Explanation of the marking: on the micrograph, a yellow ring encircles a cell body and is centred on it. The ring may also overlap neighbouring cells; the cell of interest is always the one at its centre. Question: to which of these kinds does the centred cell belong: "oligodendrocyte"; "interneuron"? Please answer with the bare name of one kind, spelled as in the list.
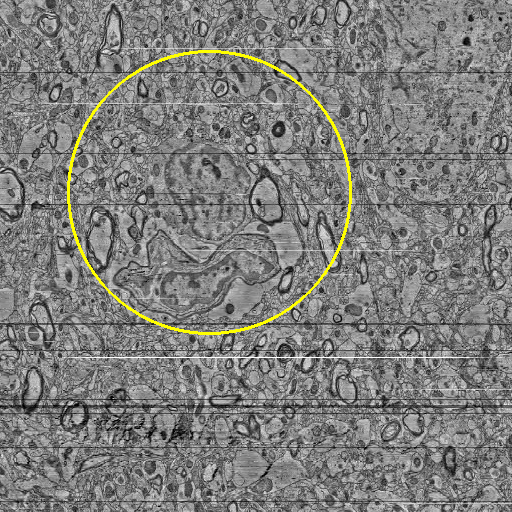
oligodendrocyte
